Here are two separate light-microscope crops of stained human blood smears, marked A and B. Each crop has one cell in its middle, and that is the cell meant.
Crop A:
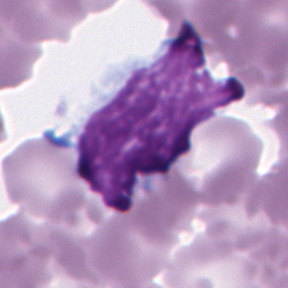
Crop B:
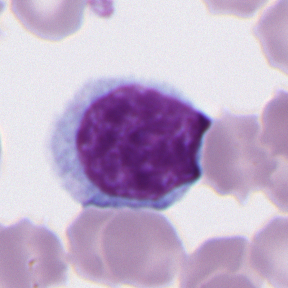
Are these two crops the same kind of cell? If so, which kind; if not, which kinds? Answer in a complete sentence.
Yes, both crops alike show typical lymphocytes at the centre.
